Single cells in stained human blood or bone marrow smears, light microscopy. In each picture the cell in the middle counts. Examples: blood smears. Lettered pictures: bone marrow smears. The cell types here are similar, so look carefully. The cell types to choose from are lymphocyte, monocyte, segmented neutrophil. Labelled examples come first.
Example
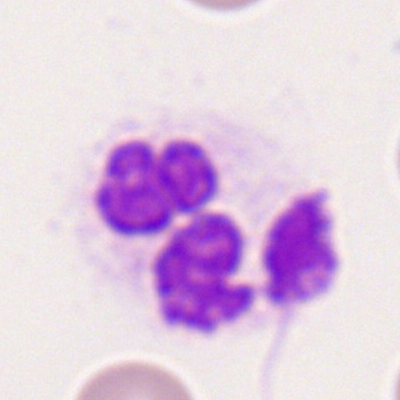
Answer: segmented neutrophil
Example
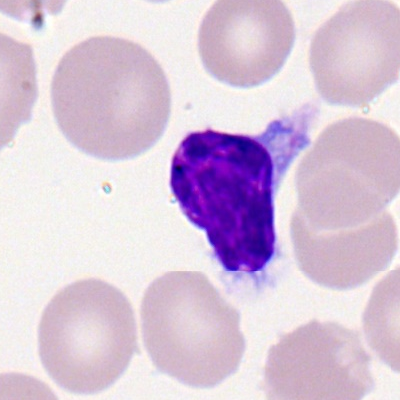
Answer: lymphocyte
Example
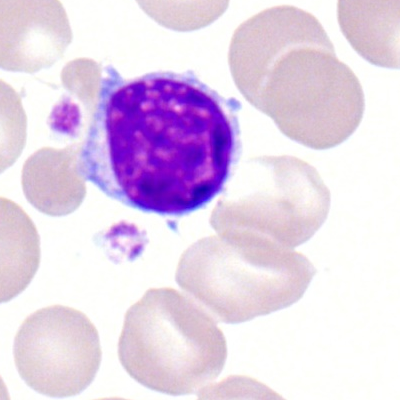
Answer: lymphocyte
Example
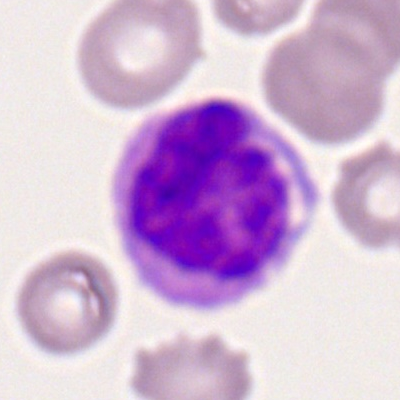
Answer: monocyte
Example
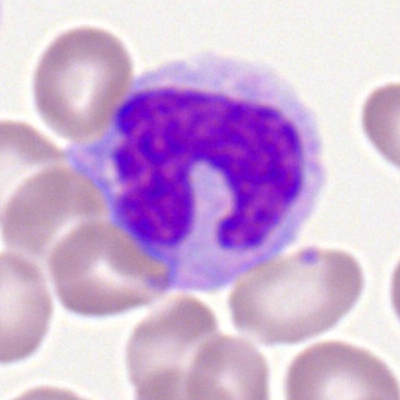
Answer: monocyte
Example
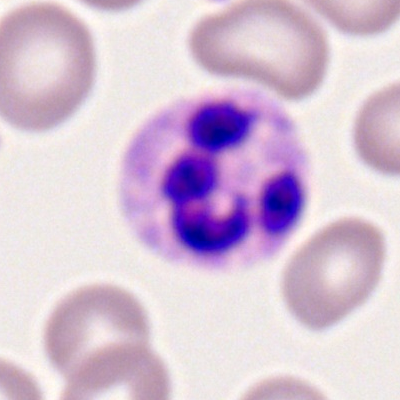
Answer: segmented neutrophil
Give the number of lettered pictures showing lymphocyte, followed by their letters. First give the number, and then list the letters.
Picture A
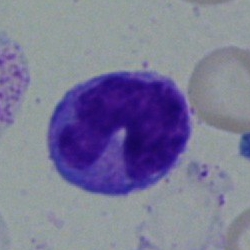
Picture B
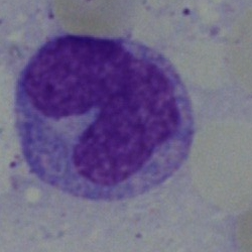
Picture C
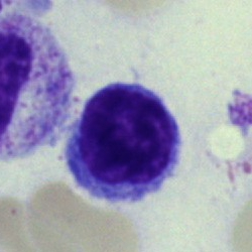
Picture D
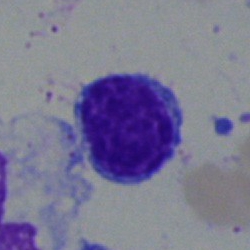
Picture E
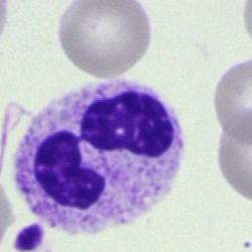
2: C, D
